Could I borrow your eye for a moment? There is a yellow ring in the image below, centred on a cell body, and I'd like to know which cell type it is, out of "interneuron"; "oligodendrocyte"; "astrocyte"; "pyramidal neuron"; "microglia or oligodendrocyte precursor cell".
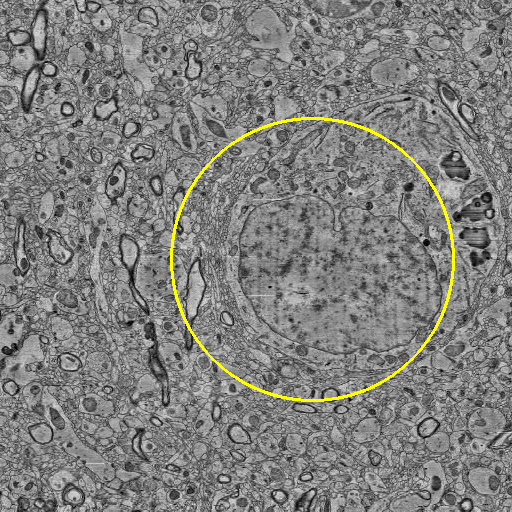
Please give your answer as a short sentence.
The cell body at the centre is that of an interneuron.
